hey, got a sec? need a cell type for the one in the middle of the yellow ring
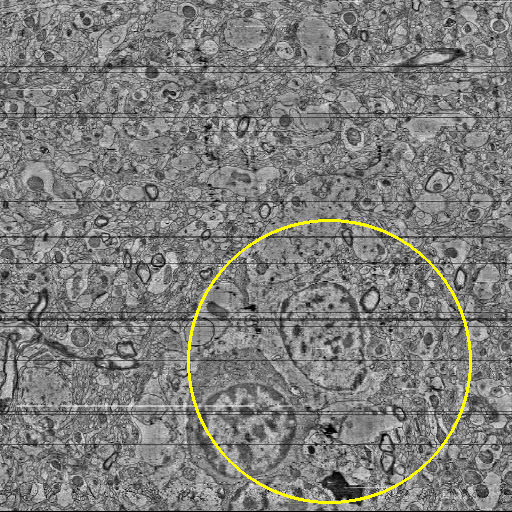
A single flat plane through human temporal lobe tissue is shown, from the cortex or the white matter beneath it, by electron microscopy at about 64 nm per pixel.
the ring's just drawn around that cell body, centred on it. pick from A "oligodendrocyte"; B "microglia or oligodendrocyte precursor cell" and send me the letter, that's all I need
B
